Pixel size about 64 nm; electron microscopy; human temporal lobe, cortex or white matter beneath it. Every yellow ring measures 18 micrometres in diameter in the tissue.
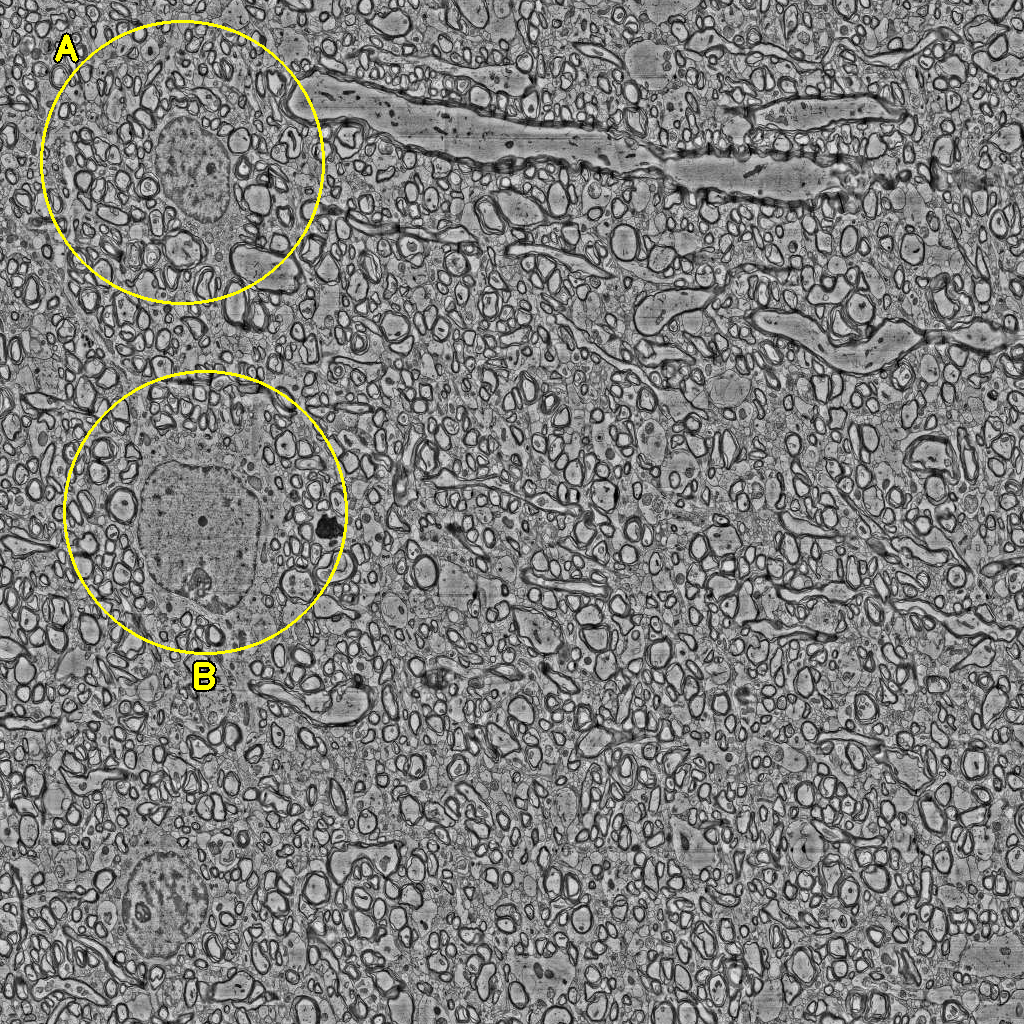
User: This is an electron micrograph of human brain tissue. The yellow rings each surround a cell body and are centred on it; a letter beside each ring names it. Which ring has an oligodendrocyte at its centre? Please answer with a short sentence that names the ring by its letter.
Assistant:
Ring A has it at its centre.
